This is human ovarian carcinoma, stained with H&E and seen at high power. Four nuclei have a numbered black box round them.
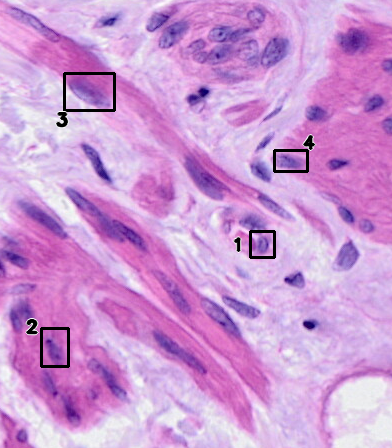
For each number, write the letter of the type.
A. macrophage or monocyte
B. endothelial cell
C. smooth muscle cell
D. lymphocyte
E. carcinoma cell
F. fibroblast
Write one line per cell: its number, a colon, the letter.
1: B
2: C
3: C
4: C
